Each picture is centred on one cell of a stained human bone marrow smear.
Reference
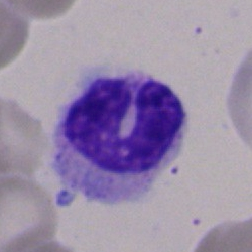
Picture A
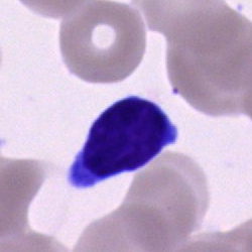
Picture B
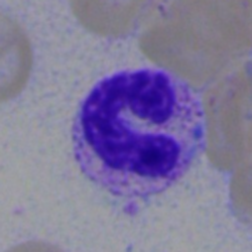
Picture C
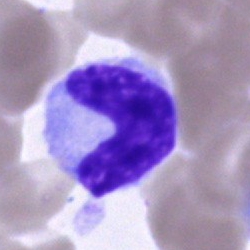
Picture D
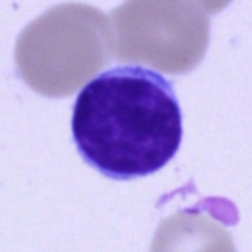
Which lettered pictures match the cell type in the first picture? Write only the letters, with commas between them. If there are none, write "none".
B, C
